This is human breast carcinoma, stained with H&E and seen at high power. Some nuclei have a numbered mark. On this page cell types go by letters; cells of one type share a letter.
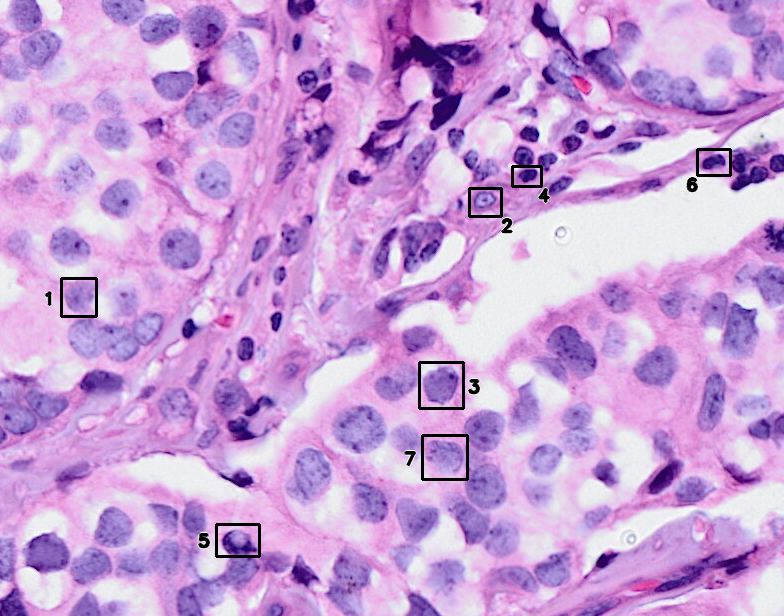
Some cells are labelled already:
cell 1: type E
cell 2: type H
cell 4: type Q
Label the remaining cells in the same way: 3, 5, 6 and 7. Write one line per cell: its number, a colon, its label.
3: type E
5: type E
6: type Q
7: type E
